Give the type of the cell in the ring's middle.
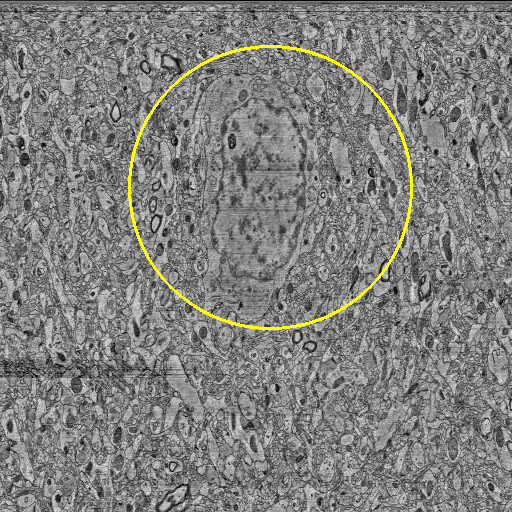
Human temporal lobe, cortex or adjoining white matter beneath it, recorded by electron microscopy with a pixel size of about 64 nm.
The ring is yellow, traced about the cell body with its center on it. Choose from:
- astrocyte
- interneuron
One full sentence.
Here, an interneuron is the cell lying at the center of the yellow ring.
